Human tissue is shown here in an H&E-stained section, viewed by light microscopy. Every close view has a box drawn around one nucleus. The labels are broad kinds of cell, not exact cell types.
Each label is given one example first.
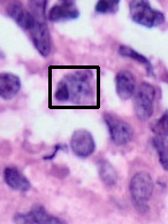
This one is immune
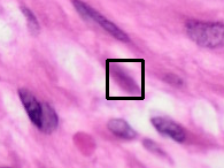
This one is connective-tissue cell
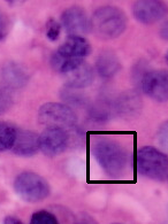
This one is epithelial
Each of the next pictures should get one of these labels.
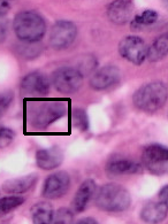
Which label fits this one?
epithelial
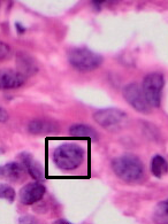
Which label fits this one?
immune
